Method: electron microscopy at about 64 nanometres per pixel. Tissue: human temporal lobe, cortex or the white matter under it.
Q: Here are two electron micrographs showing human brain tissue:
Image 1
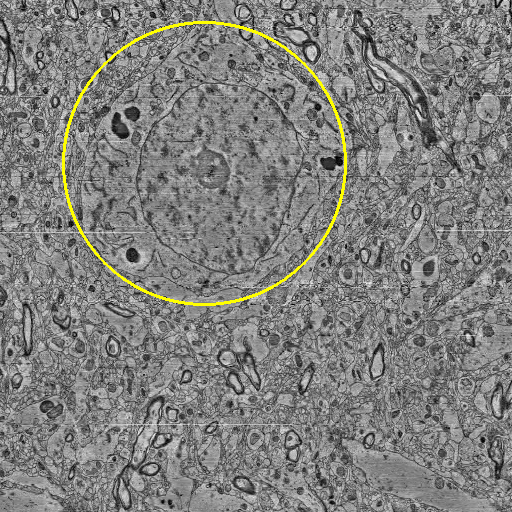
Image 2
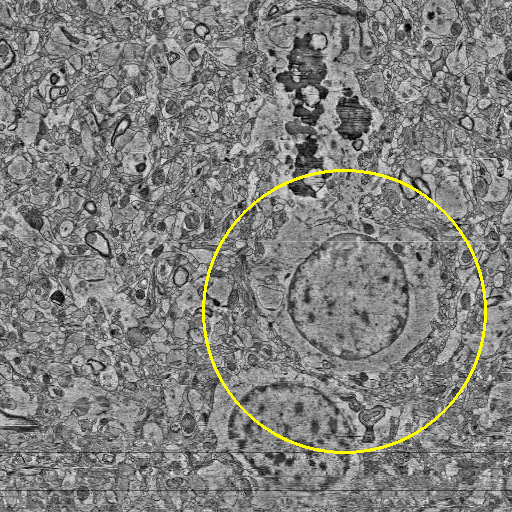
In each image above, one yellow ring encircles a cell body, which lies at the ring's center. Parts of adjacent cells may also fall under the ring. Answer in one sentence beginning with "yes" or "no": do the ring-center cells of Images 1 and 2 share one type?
No, in Images 1 and 2, the ring-center cells are of two types.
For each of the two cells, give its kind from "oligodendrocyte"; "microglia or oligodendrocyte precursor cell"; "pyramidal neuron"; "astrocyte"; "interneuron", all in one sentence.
The first picture has a pyramidal neuron in its ring, the second has an astrocyte.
